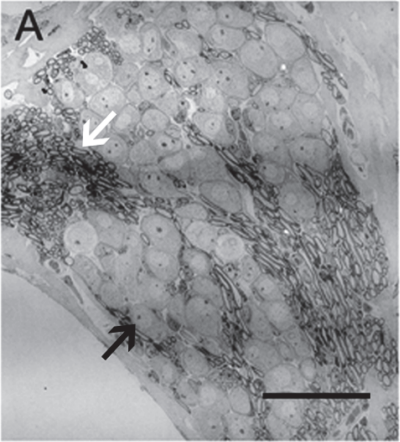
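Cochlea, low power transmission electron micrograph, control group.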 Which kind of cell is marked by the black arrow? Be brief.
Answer: Spiral ganglion cells.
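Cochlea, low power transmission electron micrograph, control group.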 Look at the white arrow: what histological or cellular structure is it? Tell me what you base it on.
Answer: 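The arrow points to a dense band of small dark rings with pale centres. Where cut lengthwise the same profiles appear as elongated dark-edged rods. The band runs between groups of large pale cell bodies. So: myelinated nerve fibers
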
